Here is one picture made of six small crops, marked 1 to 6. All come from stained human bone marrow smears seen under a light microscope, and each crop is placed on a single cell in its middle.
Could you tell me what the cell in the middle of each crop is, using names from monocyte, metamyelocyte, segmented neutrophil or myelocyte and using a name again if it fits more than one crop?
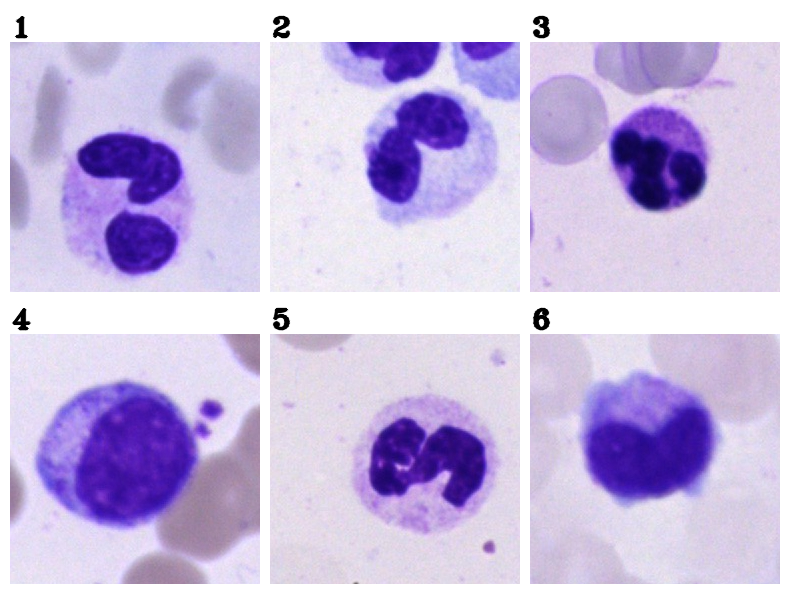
1: segmented neutrophil
2: segmented neutrophil
3: segmented neutrophil
4: myelocyte
5: segmented neutrophil
6: metamyelocyte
